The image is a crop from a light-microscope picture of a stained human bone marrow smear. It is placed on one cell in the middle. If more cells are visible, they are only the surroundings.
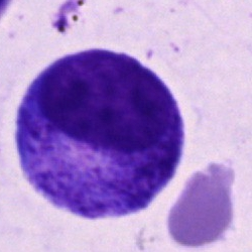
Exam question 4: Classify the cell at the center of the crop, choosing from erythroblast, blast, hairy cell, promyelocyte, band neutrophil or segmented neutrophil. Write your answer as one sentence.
The cell sitting right in the middle is a promyelocyte.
